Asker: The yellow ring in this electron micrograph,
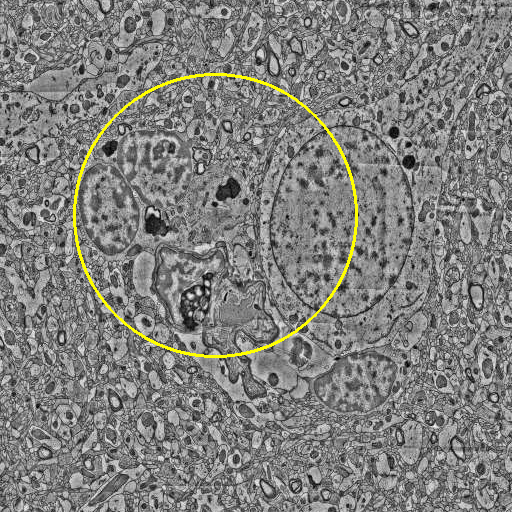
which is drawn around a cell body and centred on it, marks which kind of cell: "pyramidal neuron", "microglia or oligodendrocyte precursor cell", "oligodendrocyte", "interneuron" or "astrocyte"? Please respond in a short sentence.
The marked cell is an oligodendrocyte.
